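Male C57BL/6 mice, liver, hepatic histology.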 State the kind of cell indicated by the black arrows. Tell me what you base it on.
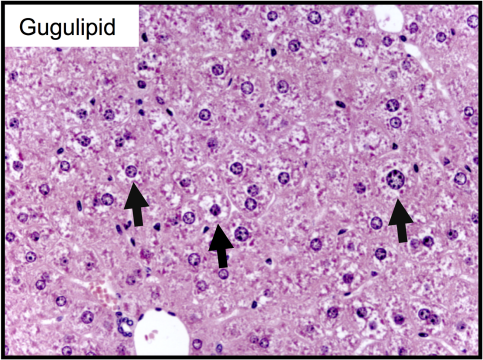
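The cells pointed at have pale, coarsely clumped cytoplasm with small clear spaces. The answer: enlarged hepatocytes.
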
